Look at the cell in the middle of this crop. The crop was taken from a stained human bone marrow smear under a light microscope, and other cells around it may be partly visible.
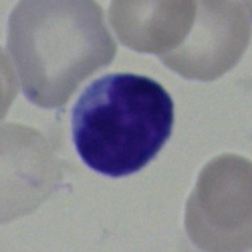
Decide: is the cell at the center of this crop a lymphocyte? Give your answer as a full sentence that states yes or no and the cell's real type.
Yes, the crop's central cell is a lymphocyte.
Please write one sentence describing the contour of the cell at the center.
Smooth edges only, with no spikes, blebs, or other projections.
